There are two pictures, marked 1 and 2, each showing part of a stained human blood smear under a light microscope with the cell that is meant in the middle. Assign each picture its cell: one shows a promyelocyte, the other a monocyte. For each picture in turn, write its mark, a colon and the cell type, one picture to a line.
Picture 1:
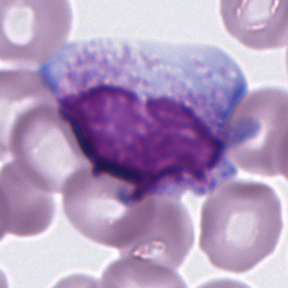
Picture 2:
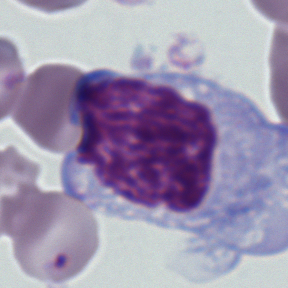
1: promyelocyte
2: monocyte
